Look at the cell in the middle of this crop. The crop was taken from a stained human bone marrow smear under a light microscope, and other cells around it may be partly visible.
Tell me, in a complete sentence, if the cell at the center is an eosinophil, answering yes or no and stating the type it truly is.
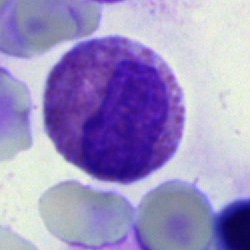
Yes, the one cell at the centre is an eosinophil.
